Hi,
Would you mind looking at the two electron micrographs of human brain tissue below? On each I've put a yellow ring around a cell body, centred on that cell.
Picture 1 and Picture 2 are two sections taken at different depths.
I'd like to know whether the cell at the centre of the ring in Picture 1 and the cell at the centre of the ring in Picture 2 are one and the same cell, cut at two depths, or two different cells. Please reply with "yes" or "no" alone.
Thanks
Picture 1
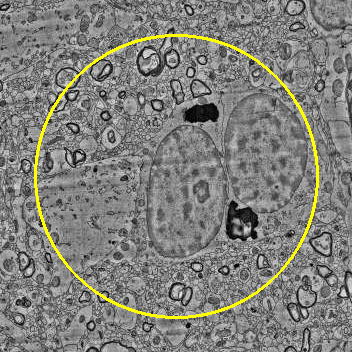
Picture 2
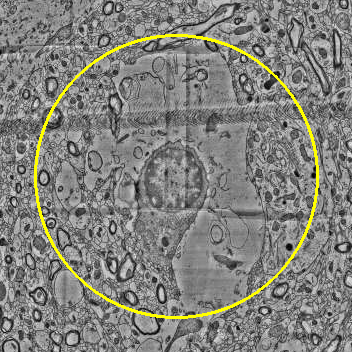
no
